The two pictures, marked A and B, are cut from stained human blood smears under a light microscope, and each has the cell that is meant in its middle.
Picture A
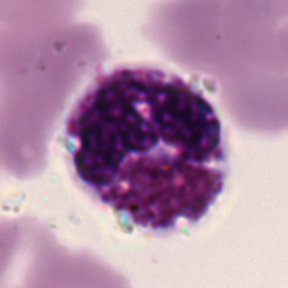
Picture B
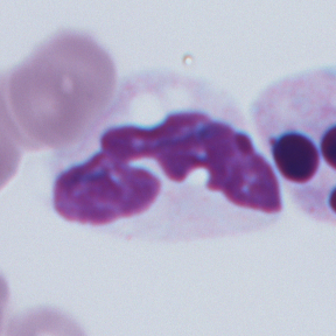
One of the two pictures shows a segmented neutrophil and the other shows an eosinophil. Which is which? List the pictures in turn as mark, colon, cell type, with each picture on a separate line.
A: eosinophil
B: segmented neutrophil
